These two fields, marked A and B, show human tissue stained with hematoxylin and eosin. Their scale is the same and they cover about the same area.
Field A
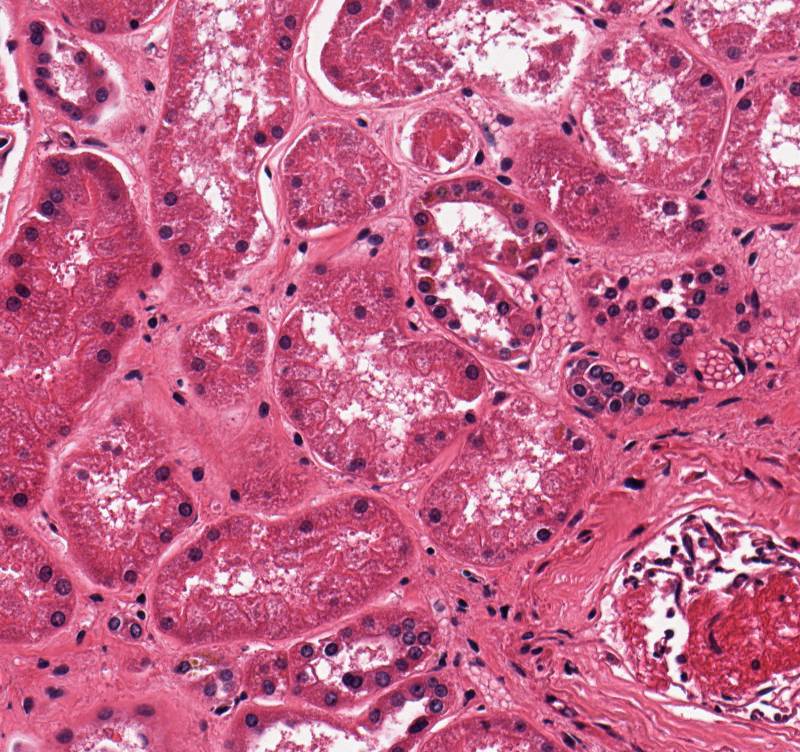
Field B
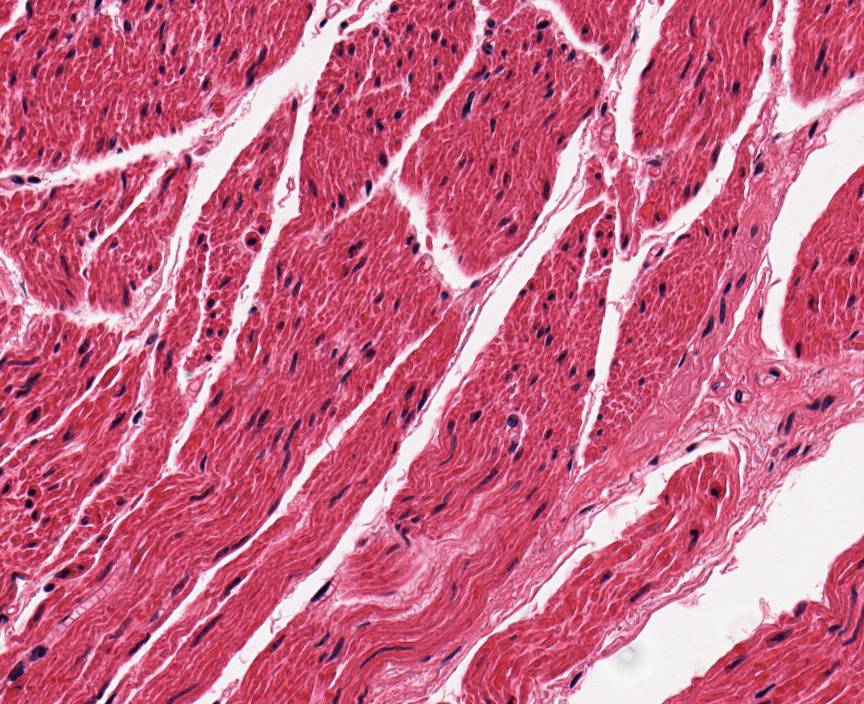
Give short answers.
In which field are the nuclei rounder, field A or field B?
A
